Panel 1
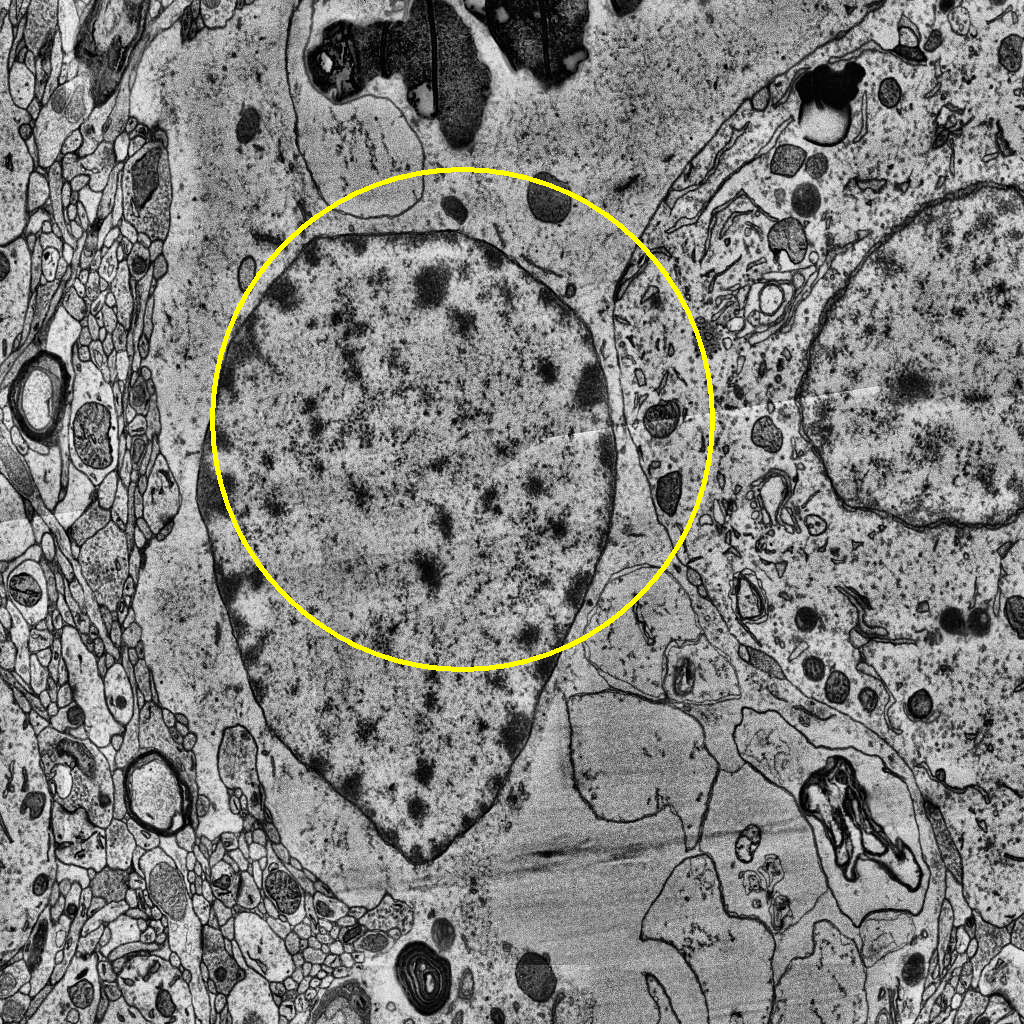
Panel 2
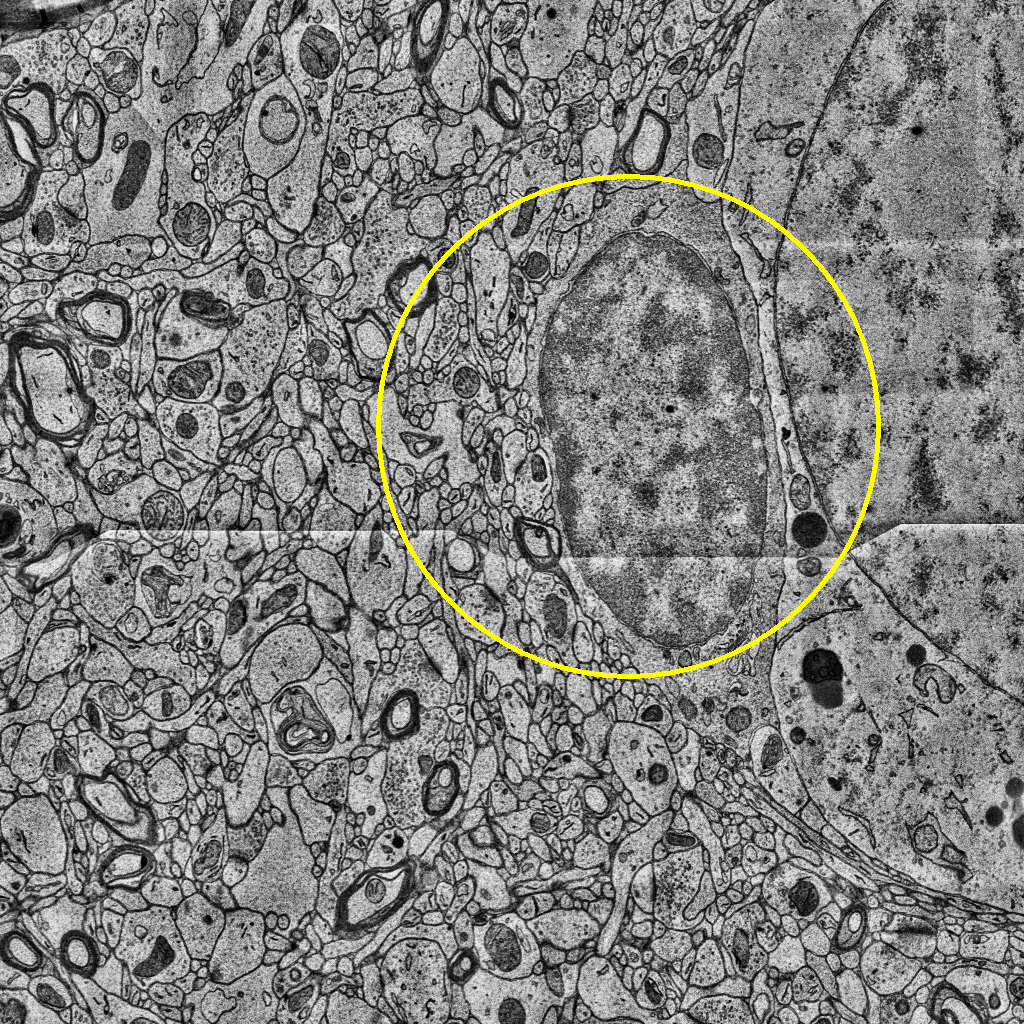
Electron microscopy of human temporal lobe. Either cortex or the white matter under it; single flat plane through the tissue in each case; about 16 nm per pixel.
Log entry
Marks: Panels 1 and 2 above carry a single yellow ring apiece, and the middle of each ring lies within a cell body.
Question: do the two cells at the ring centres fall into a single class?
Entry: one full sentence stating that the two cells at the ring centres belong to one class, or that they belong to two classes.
The two cells at the ring centres in Panels 1 and 2 belong to two classes.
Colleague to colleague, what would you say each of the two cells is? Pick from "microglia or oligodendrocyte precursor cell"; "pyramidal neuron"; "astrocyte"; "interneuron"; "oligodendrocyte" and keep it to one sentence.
The cell in the first picture is an astrocyte; the second picture's cell is an oligodendrocyte.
